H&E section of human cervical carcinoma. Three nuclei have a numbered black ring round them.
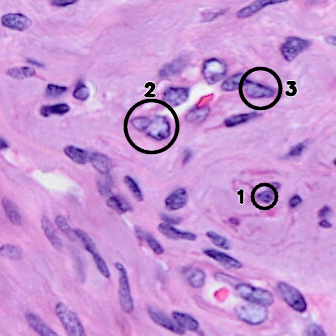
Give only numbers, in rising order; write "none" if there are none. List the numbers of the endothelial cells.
2, 3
